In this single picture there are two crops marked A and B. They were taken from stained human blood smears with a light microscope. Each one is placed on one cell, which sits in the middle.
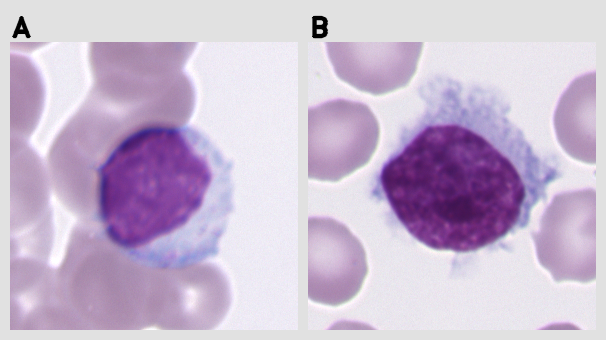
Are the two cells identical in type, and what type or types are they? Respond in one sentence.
No, crop B shows a hairy cell, and crop A shows a large granular lymphocyte.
